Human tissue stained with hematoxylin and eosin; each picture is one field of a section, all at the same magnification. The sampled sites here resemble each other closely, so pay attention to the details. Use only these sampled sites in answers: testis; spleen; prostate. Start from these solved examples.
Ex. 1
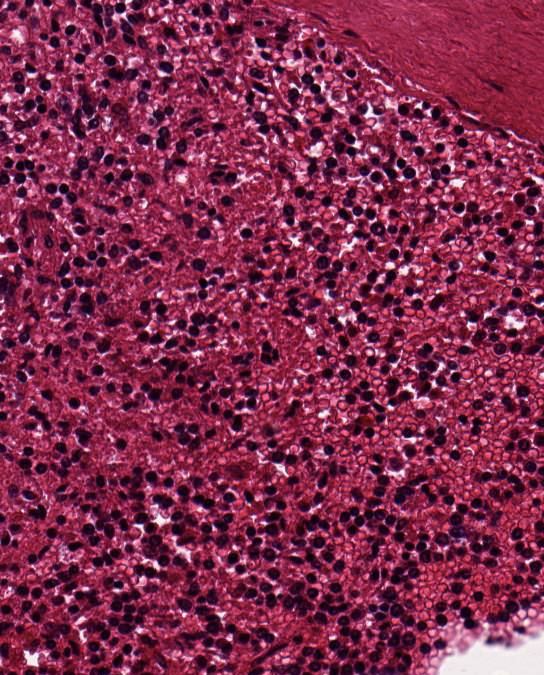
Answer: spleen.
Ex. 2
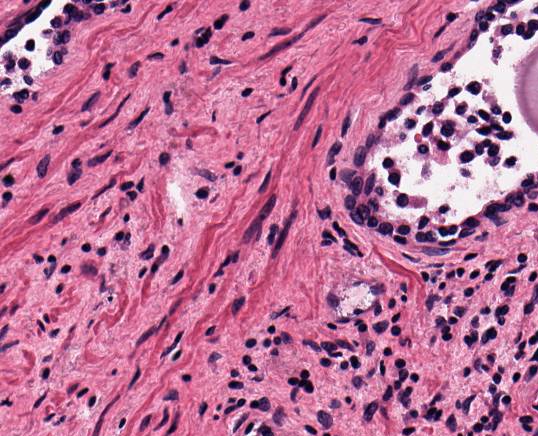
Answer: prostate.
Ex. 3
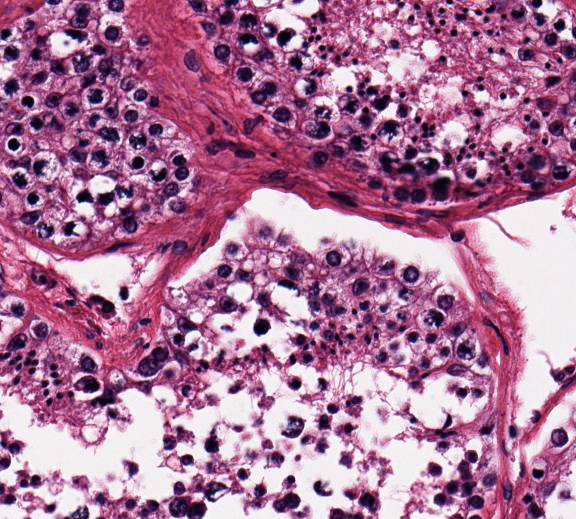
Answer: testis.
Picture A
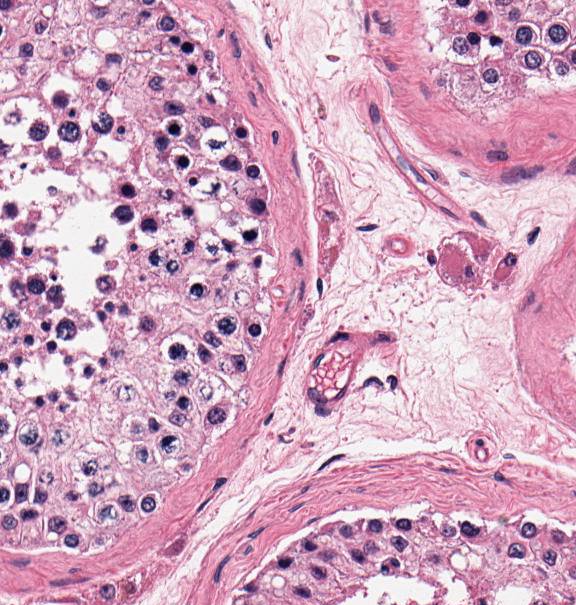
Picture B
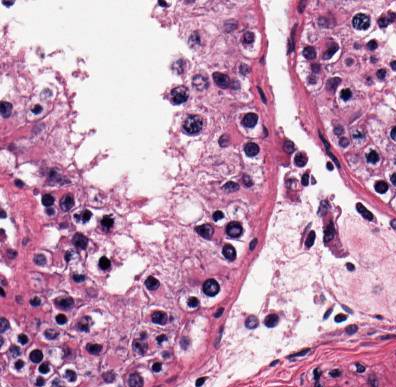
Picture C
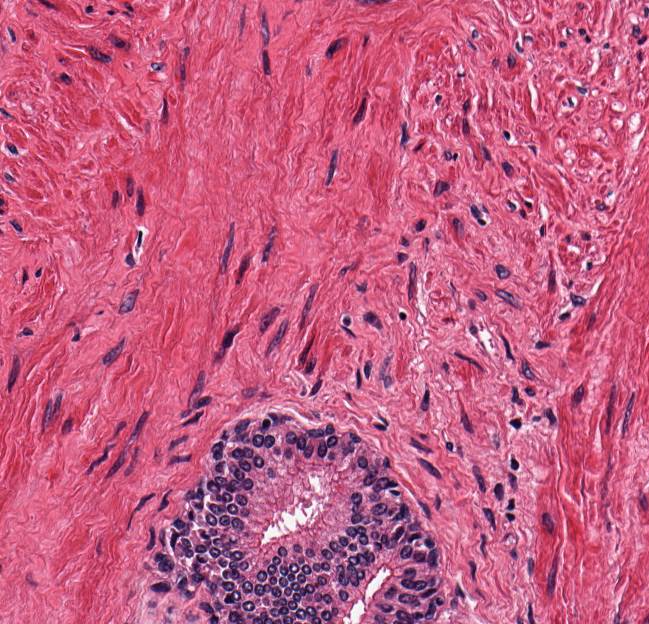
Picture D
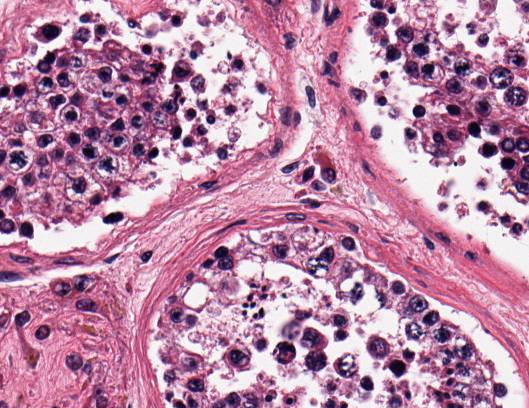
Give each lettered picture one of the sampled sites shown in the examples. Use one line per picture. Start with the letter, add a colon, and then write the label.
A: testis.
B: testis.
C: prostate.
D: testis.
